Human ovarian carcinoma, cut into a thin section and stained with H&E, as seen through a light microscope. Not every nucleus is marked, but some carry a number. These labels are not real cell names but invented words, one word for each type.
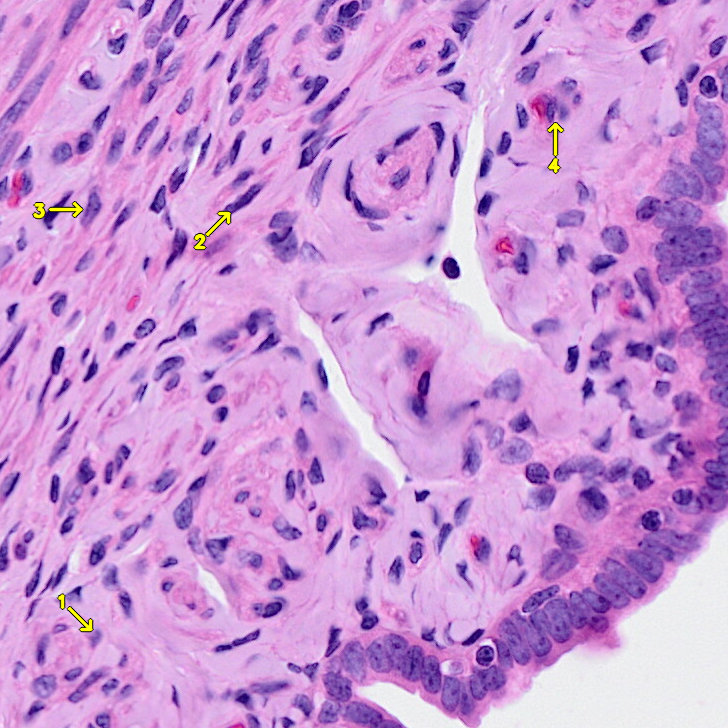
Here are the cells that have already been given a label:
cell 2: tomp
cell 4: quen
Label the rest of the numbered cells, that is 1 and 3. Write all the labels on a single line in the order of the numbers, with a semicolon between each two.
tomp; tomp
